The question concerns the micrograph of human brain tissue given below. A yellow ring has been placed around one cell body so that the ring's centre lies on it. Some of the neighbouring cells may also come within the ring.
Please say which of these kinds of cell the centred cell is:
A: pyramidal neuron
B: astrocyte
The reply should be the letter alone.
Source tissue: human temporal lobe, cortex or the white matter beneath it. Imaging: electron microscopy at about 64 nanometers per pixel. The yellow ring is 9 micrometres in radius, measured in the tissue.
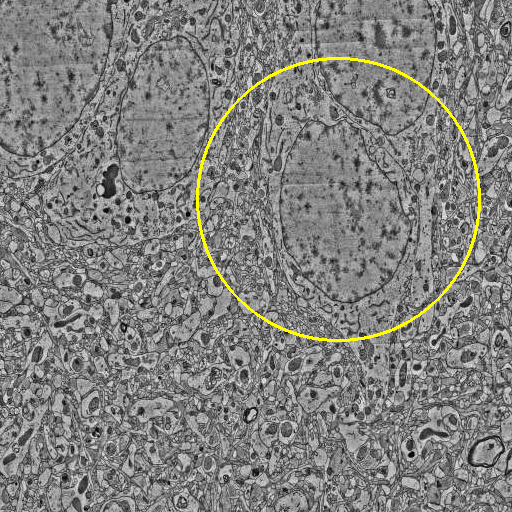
A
